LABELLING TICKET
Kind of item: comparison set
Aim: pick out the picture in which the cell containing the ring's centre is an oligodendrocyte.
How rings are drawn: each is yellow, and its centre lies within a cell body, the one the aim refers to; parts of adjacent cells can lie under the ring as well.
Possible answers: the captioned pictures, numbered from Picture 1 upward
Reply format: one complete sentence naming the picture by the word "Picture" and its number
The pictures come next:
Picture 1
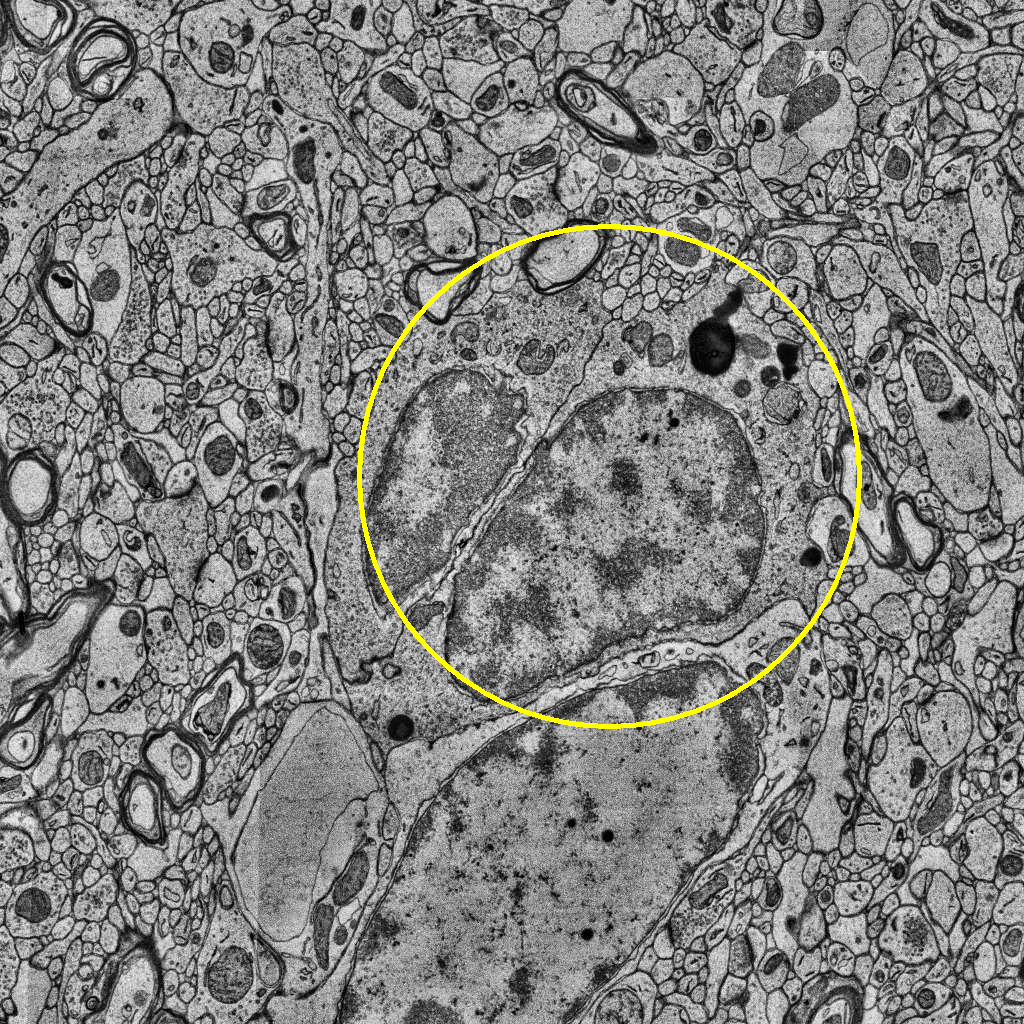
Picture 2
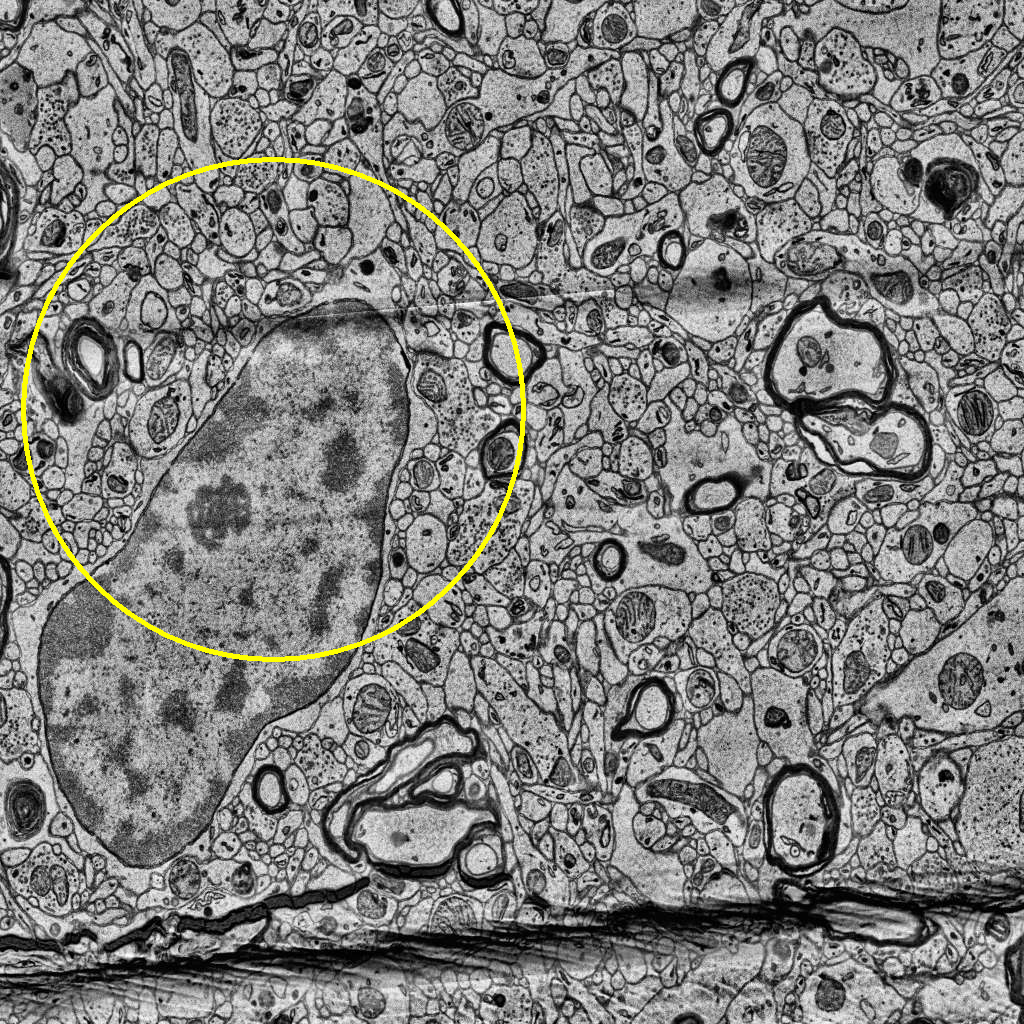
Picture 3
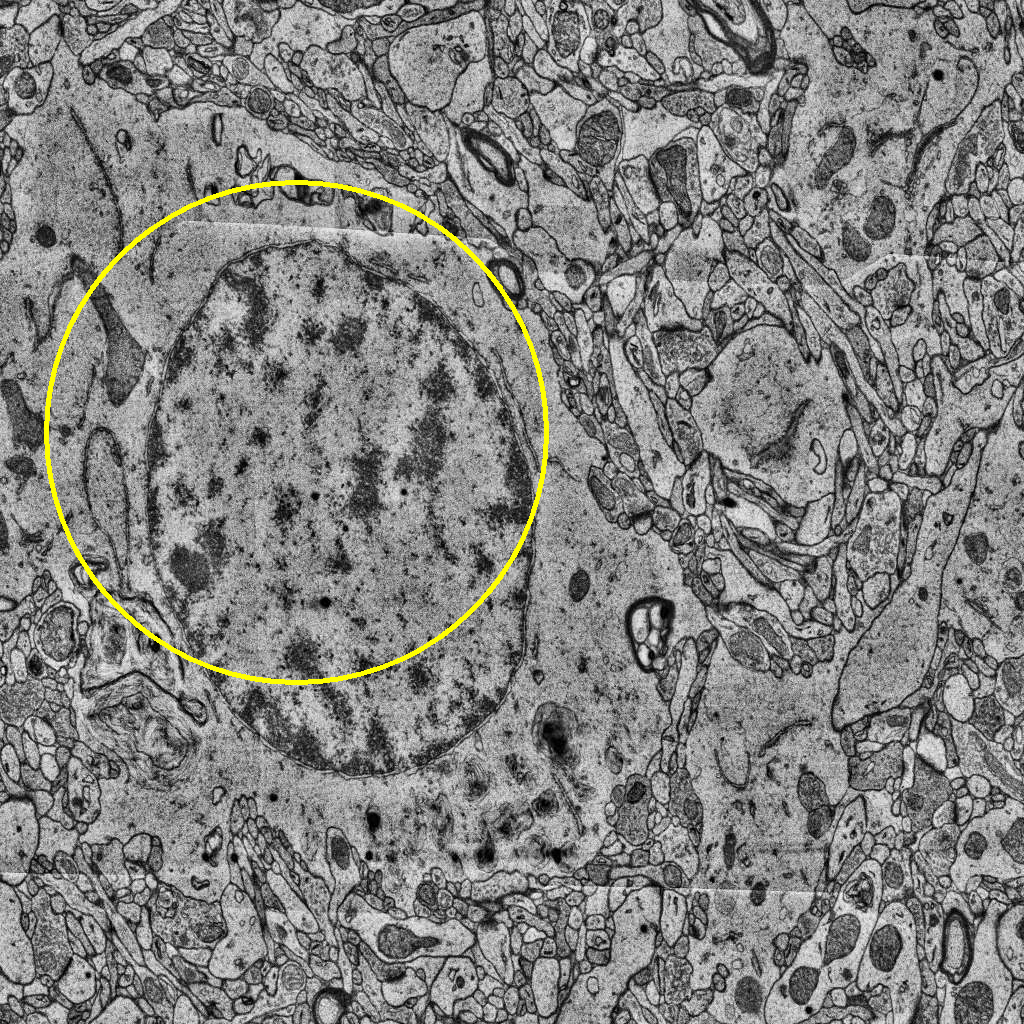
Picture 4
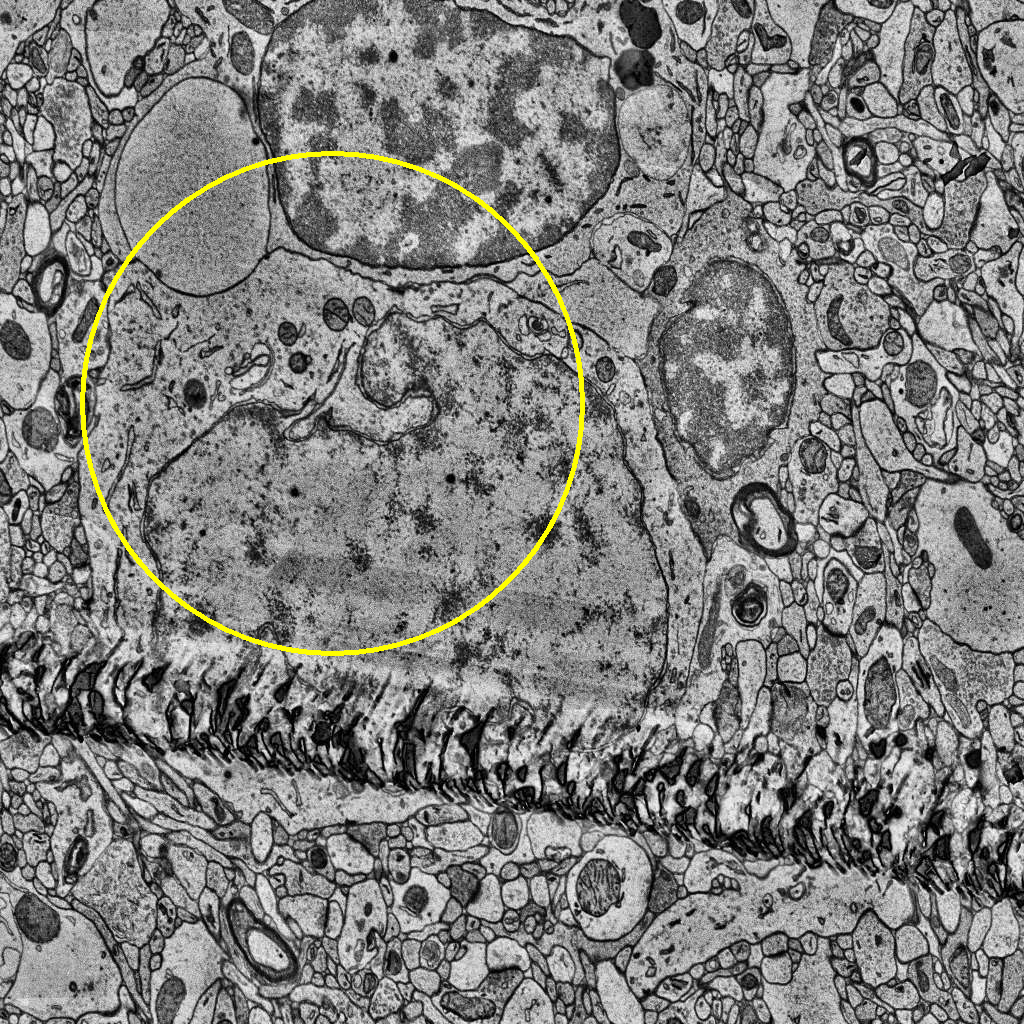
The cell containing the middle of the yellow ring in Picture 1 is the requested one.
